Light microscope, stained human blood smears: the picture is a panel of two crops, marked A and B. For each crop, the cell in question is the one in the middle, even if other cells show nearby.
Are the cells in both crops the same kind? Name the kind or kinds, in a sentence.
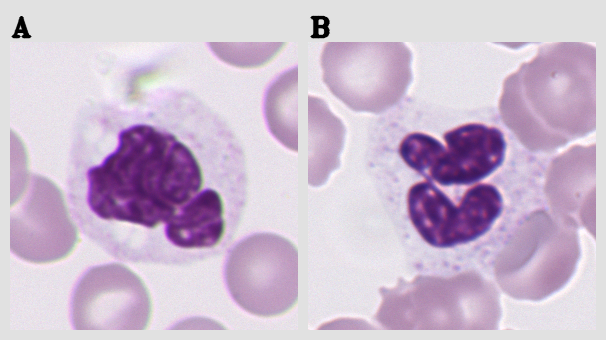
Yes, segmented neutrophils are the cells shown in both crops.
